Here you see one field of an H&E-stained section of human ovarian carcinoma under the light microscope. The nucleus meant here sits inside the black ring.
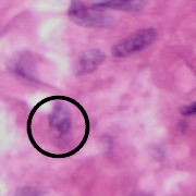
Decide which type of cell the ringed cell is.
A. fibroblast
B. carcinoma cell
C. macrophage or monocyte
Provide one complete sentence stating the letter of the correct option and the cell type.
Here the correct option is A, since the ringed cell is a fibroblast.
